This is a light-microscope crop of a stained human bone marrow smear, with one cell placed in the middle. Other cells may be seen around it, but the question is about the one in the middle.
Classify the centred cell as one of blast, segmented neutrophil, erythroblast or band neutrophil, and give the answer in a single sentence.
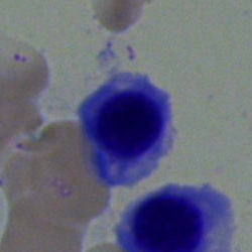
The cell under consideration, at the middle of the crop, is an erythroblast.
